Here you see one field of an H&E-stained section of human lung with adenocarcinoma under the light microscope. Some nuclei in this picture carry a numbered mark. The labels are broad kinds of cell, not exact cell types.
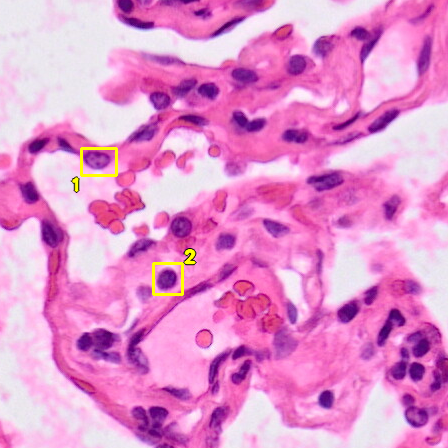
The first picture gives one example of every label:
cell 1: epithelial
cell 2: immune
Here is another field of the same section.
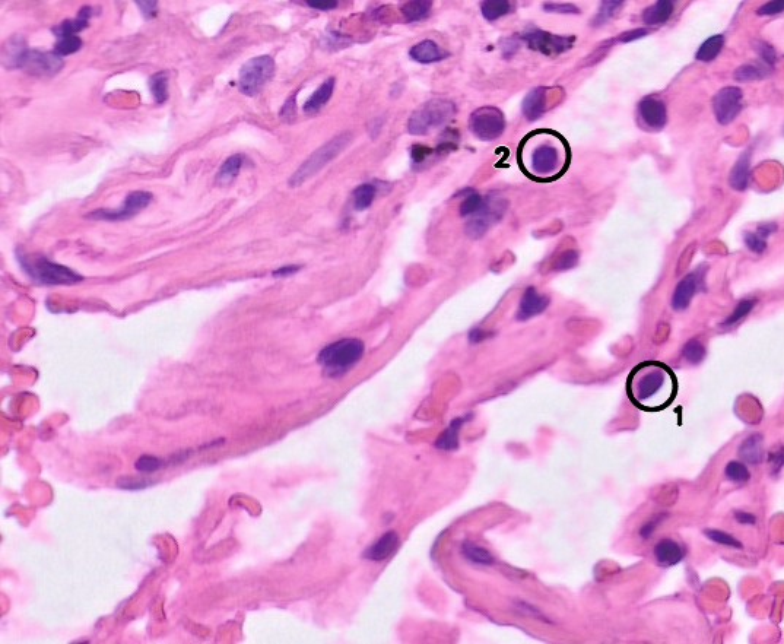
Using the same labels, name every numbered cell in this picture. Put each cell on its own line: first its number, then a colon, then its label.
1: epithelial
2: immune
